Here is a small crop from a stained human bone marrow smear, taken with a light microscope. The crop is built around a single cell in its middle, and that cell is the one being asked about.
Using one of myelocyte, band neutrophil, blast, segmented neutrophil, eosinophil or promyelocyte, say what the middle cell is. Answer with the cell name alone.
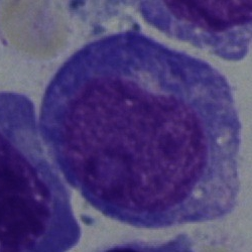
blast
